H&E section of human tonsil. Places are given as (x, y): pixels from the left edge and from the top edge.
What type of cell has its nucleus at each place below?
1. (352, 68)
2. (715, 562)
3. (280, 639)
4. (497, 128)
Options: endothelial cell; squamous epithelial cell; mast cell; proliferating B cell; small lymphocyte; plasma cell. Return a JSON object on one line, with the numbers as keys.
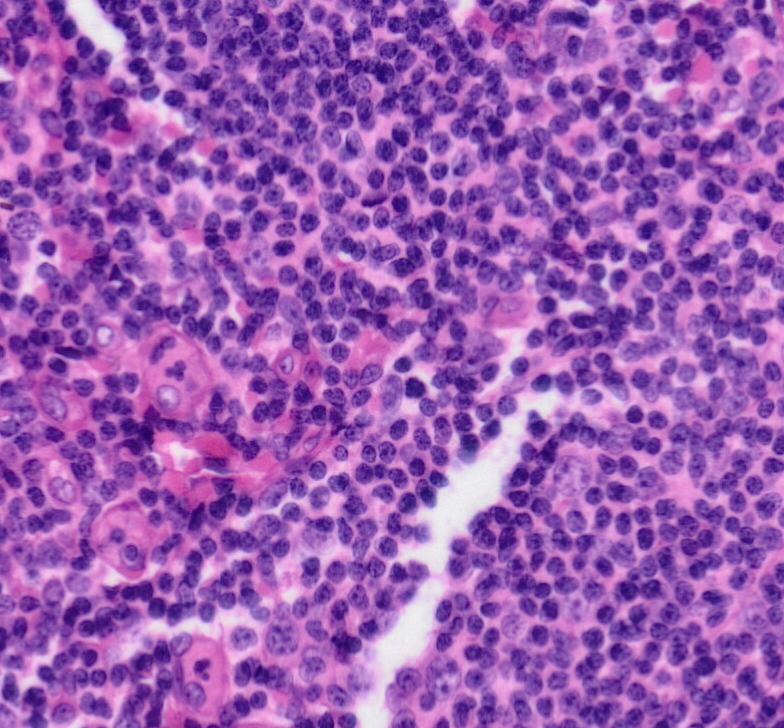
{"1": "small lymphocyte", "2": "small lymphocyte", "3": "proliferating B cell", "4": "small lymphocyte"}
